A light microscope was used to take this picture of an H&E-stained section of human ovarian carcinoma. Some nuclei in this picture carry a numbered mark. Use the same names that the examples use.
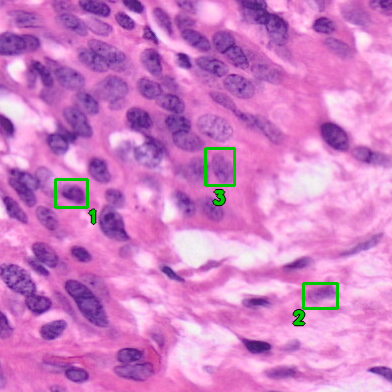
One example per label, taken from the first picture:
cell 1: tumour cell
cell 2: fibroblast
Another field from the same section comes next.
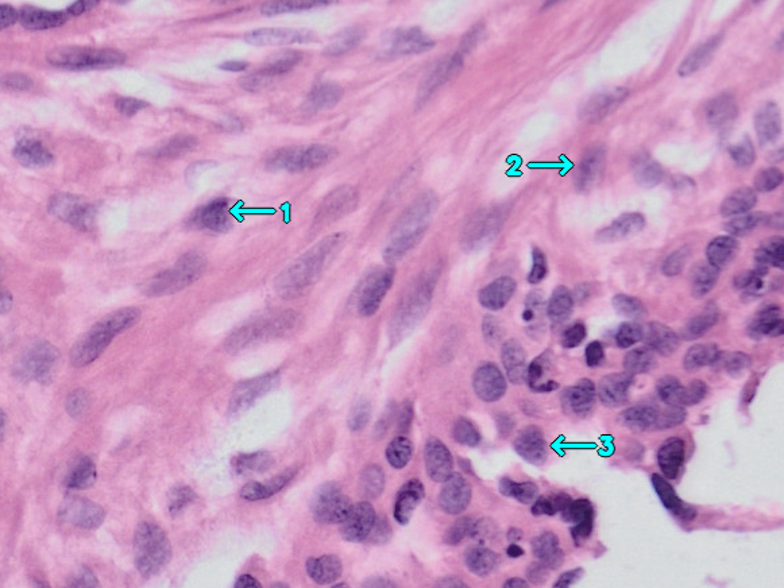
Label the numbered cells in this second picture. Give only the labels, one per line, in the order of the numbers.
fibroblast
fibroblast
tumour cell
